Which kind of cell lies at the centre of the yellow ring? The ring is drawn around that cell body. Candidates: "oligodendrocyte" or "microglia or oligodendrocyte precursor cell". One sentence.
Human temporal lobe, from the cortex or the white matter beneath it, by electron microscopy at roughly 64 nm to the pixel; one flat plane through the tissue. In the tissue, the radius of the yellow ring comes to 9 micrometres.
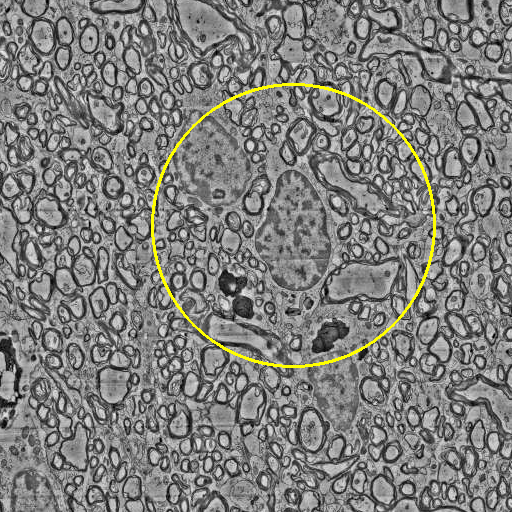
Lying at the centre of the ring is a microglial cell or oligodendrocyte precursor cell.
